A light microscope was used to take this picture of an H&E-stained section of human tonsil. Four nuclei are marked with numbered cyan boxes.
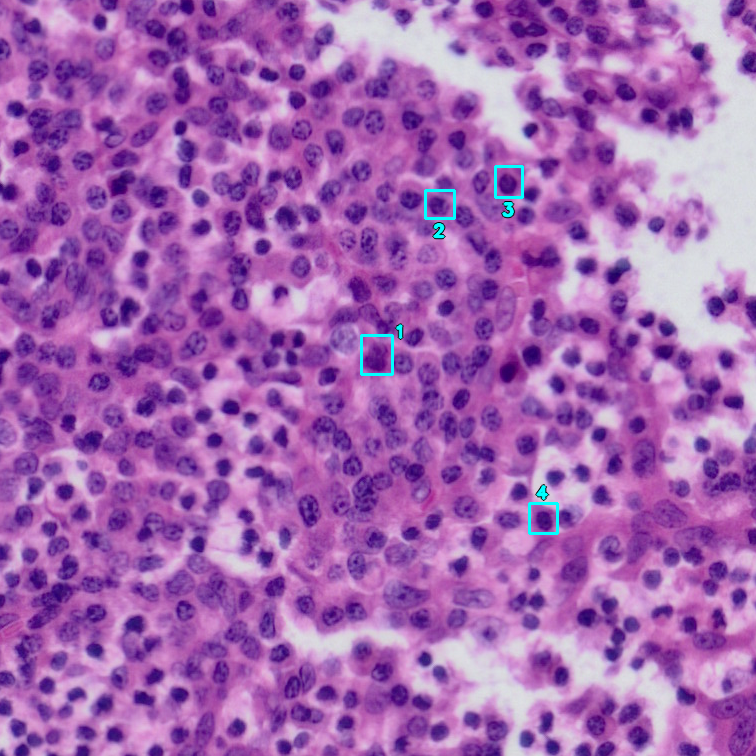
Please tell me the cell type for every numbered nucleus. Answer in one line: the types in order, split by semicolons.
squamous epithelial cell; plasma cell; plasma cell; plasma cell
